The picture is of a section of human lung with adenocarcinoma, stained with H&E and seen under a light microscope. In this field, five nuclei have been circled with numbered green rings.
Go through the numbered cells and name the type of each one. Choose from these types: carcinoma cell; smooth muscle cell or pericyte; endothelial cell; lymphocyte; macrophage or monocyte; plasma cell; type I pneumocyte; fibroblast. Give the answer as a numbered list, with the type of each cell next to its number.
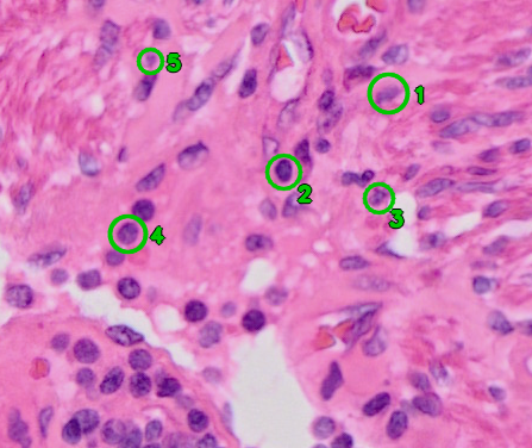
1. smooth muscle cell or pericyte
2. lymphocyte
3. smooth muscle cell or pericyte
4. lymphocyte
5. smooth muscle cell or pericyte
